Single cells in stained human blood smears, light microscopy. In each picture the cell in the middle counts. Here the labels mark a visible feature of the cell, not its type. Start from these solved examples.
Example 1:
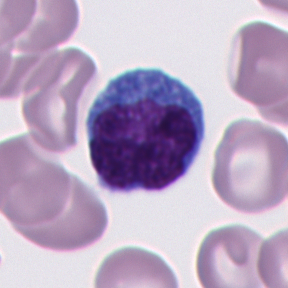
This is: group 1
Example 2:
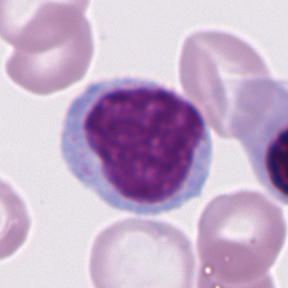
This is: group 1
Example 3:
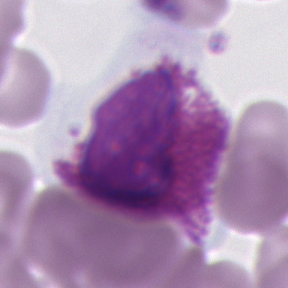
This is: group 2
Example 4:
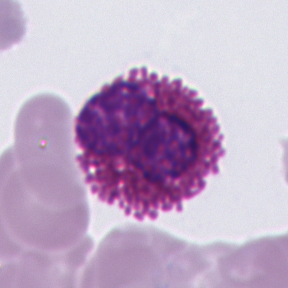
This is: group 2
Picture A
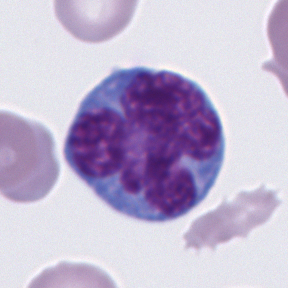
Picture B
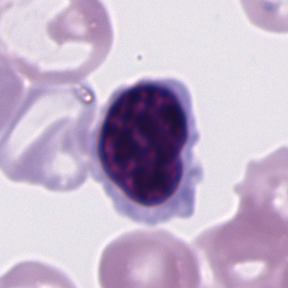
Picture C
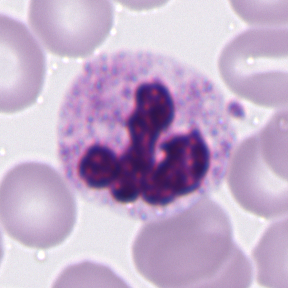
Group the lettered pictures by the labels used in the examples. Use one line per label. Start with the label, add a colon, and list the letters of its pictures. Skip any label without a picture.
group 1: A, C
group 2: B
